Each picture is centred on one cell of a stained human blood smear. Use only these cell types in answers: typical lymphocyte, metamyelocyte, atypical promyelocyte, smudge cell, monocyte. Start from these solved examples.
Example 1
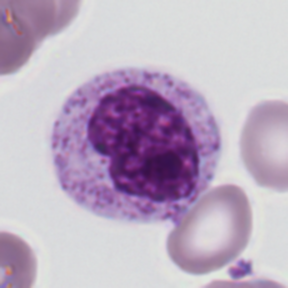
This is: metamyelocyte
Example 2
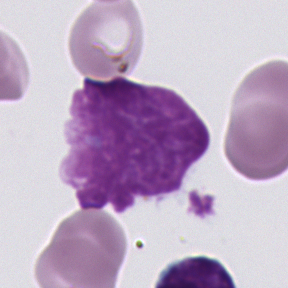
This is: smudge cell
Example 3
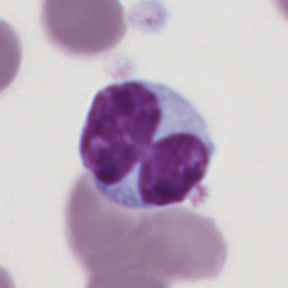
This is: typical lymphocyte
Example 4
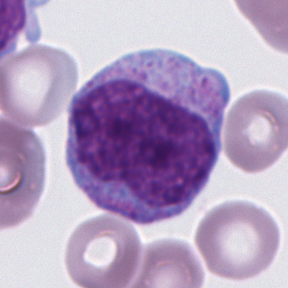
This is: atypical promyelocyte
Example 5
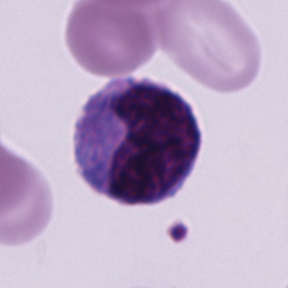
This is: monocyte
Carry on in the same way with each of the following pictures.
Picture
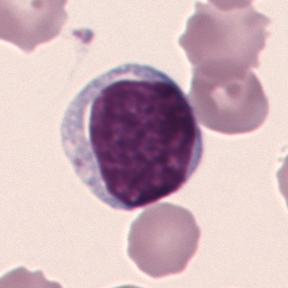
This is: typical lymphocyte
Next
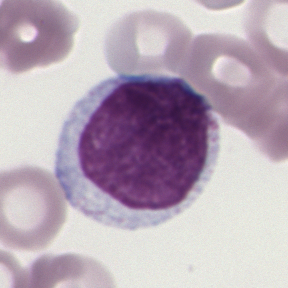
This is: typical lymphocyte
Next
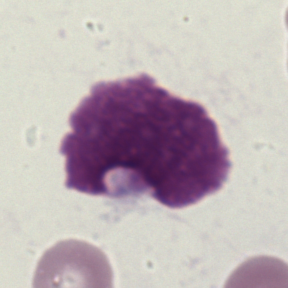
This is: smudge cell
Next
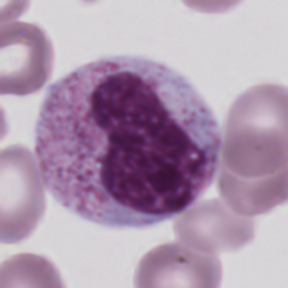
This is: metamyelocyte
